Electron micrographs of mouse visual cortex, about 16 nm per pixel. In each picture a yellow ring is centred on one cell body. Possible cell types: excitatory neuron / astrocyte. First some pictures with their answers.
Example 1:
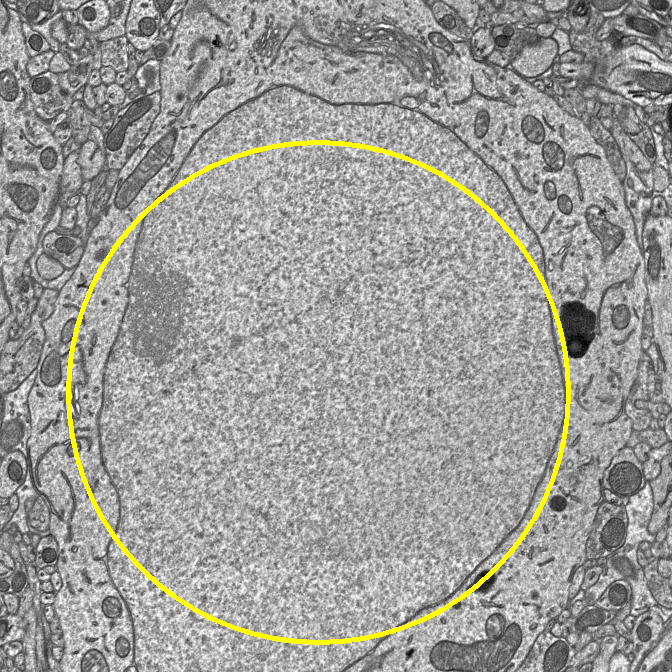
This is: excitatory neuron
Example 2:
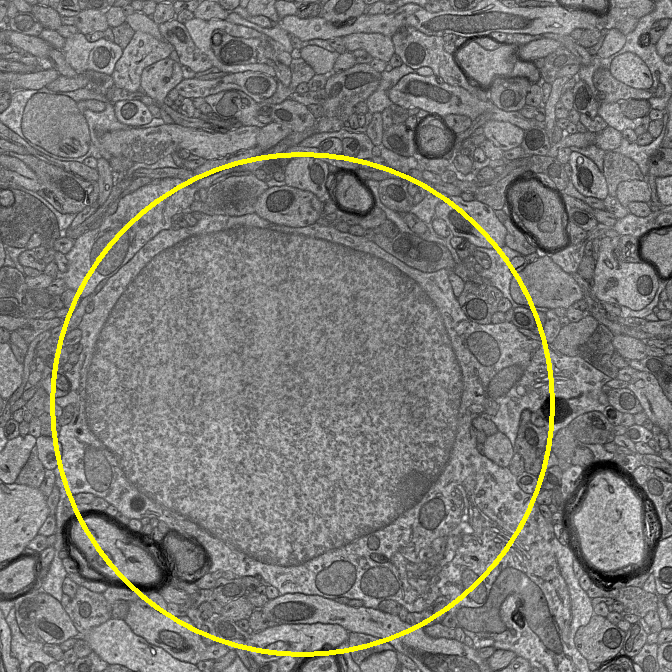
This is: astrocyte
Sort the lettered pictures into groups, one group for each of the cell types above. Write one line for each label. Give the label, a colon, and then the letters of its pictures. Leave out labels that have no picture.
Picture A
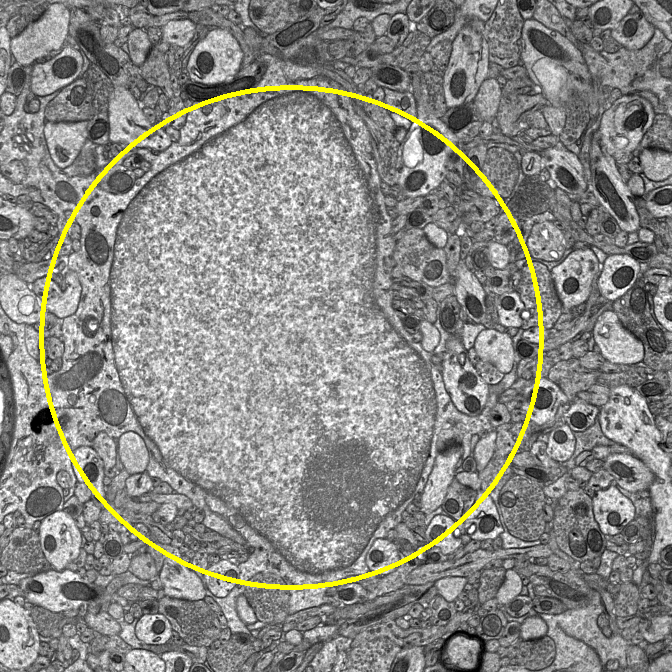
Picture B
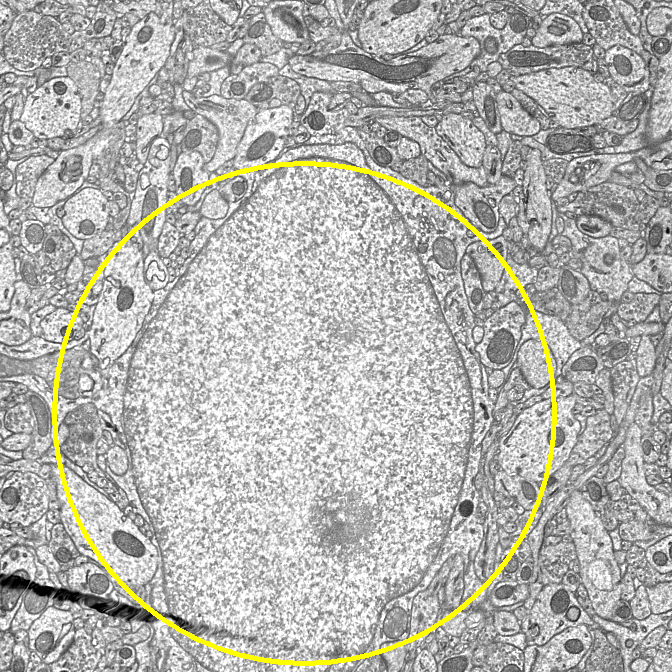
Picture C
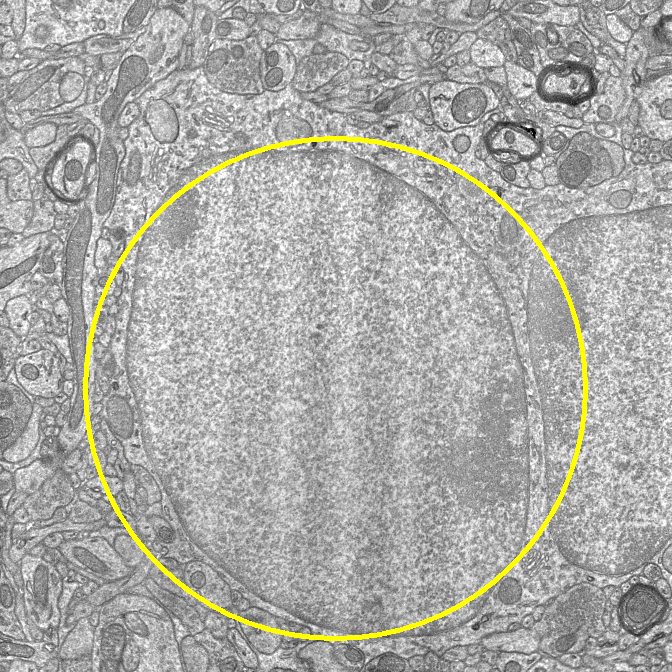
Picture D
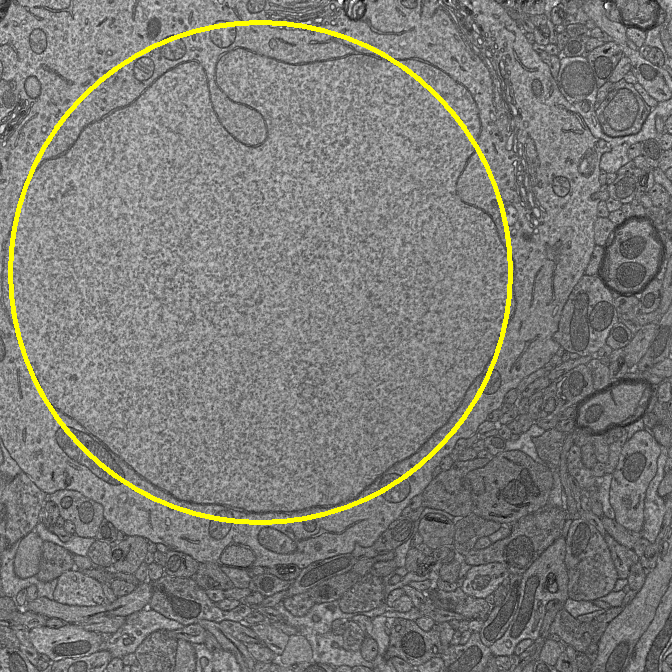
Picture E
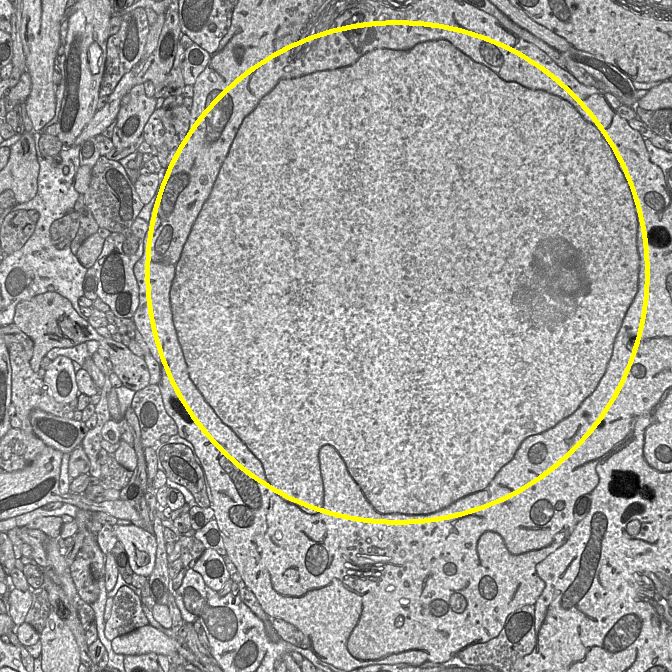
excitatory neuron: D, E
astrocyte: A, B, C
